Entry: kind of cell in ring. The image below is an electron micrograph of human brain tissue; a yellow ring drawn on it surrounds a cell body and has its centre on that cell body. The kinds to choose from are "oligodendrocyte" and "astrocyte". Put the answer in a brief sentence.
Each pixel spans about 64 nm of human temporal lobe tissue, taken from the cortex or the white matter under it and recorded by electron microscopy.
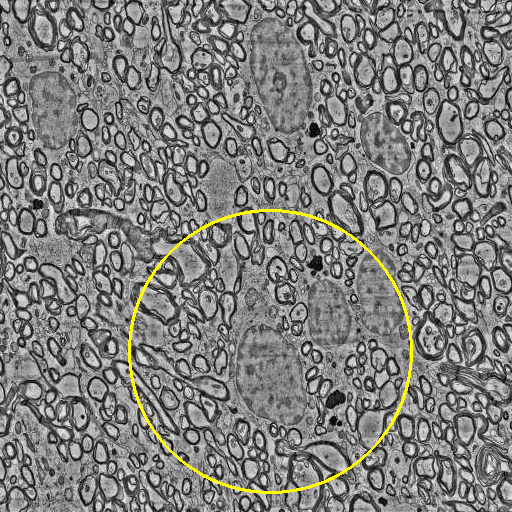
The ring has been drawn around an oligodendrocyte.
